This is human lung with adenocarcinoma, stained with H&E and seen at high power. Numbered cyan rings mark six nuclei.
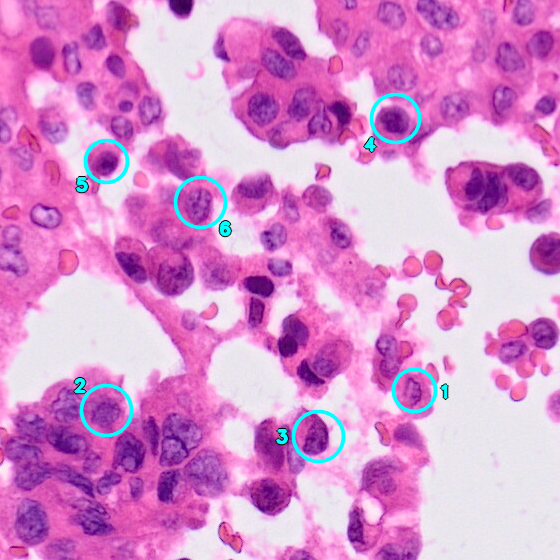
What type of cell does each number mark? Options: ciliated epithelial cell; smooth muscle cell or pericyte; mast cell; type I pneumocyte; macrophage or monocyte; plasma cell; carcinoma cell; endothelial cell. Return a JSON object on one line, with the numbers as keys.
{"1": "macrophage or monocyte", "2": "carcinoma cell", "3": "carcinoma cell", "4": "carcinoma cell", "5": "macrophage or monocyte", "6": "carcinoma cell"}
